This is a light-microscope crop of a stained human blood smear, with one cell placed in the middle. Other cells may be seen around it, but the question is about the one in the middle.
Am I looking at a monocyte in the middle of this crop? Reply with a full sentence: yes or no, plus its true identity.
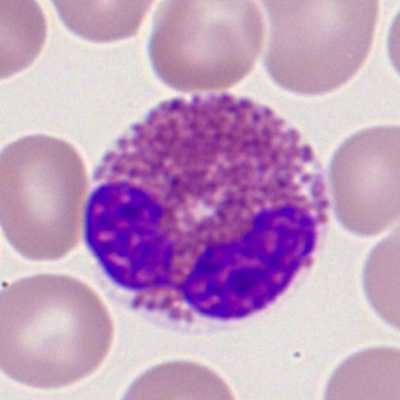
No, the central cell is counted as an eosinophil instead of a monocyte.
